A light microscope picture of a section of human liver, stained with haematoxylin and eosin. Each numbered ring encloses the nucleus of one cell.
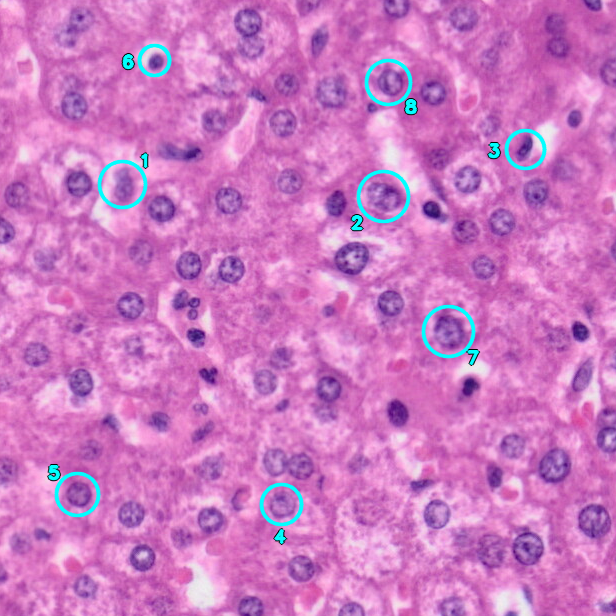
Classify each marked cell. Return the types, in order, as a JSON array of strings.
["Kupffer cell", "hepatocyte", "endothelial cell", "hepatocyte", "hepatocyte", "lymphocyte", "hepatocyte", "hepatocyte"]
